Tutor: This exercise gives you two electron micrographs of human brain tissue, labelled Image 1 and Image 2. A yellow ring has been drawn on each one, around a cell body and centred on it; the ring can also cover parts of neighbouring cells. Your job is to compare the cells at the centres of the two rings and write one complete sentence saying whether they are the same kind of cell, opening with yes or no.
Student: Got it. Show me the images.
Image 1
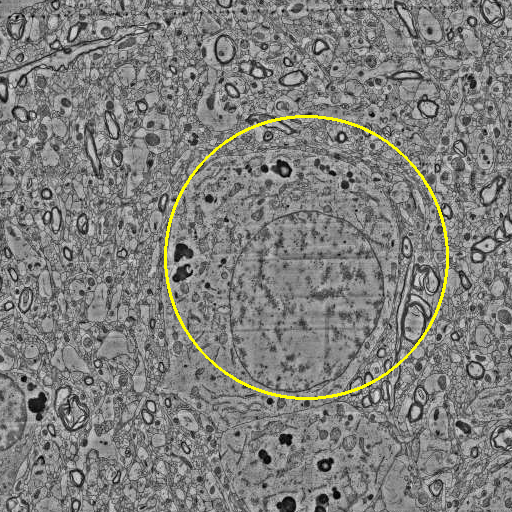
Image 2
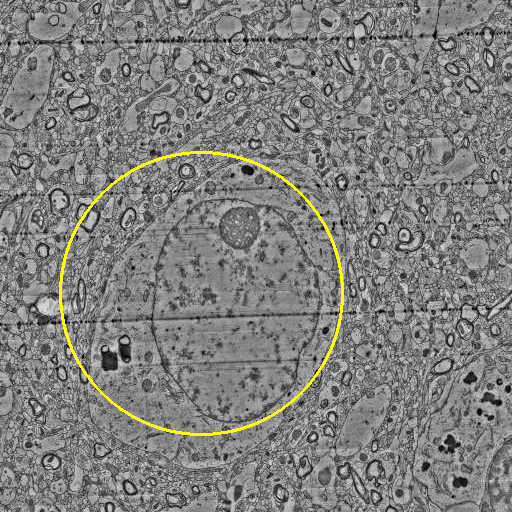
Yes, the two cells belong to the same kind.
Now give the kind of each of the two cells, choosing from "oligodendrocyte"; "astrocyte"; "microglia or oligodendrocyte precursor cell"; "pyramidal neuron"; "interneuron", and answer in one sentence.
Each one of the two ringed cells is a pyramidal neuron.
